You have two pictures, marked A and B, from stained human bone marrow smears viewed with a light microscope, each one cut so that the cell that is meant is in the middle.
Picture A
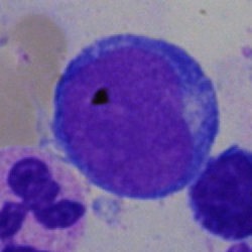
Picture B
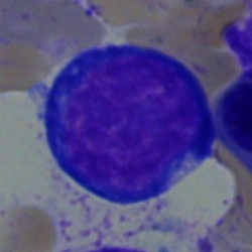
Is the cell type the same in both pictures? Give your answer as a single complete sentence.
Yes, the two pictures both show proerythroblasts.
